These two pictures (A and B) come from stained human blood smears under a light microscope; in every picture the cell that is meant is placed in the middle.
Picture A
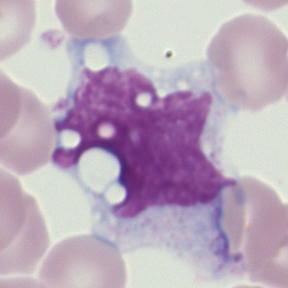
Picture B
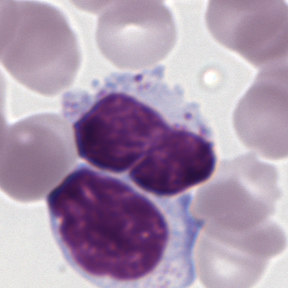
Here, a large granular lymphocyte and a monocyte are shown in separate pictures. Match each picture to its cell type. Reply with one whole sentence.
The cell in picture A is a monocyte, and the one in picture B is a large granular lymphocyte.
